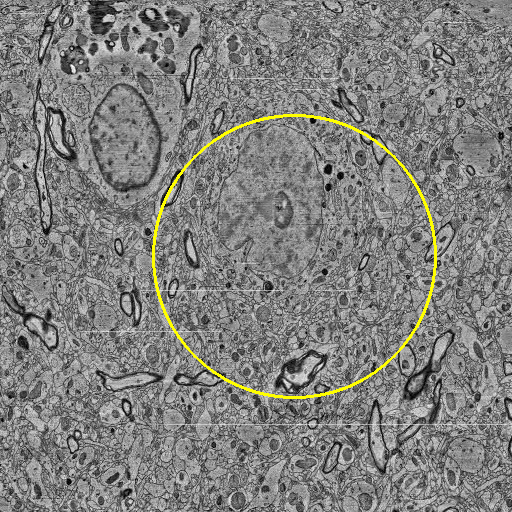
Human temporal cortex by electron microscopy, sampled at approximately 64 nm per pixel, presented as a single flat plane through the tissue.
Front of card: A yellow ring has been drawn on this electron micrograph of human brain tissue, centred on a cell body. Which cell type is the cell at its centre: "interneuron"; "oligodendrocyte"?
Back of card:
interneuron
